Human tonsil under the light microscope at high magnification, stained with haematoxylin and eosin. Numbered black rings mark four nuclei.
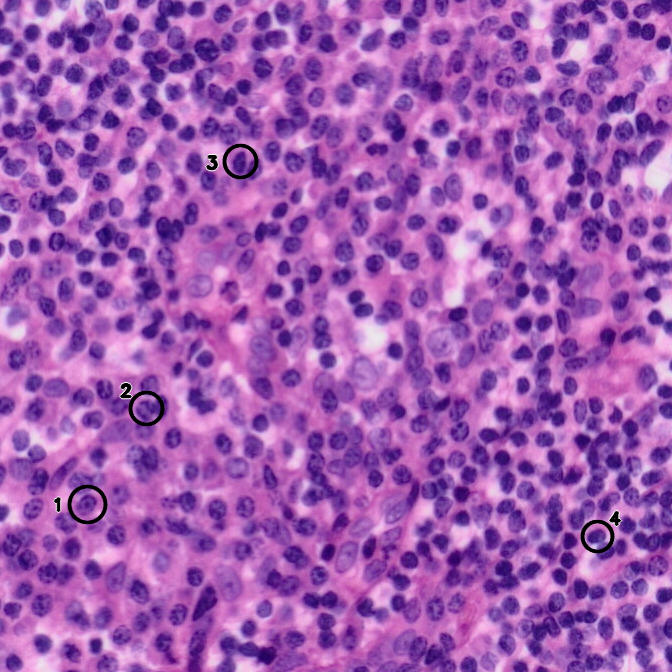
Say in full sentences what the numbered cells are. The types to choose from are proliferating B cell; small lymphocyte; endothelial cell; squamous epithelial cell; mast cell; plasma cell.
Cell 1 is a plasma cell, cell 2 is a plasma cell, cell 3 is a plasma cell and cell 4 is a small lymphocyte.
